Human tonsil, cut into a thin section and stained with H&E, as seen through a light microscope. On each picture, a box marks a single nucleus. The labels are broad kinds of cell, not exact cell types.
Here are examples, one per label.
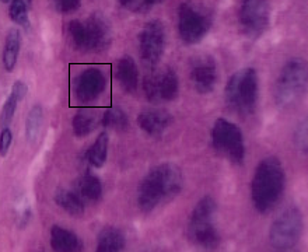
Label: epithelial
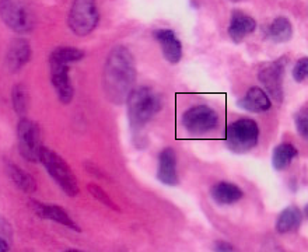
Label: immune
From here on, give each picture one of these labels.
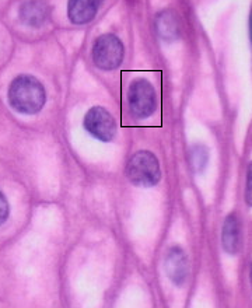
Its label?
epithelial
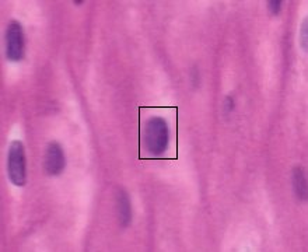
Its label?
epithelial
